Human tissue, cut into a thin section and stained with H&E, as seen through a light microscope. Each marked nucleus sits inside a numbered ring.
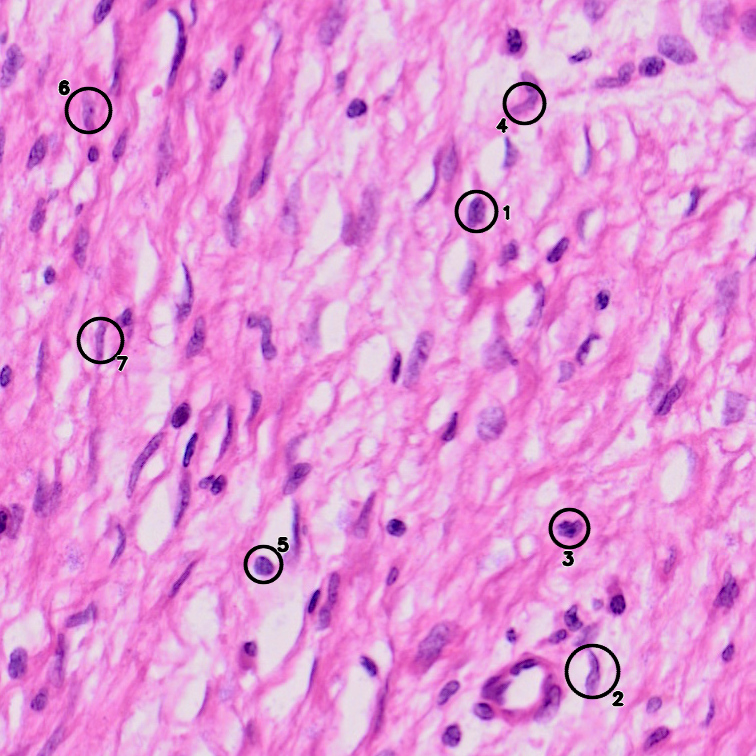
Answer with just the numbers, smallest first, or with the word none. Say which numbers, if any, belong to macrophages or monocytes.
1, 4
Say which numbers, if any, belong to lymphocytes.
3, 5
